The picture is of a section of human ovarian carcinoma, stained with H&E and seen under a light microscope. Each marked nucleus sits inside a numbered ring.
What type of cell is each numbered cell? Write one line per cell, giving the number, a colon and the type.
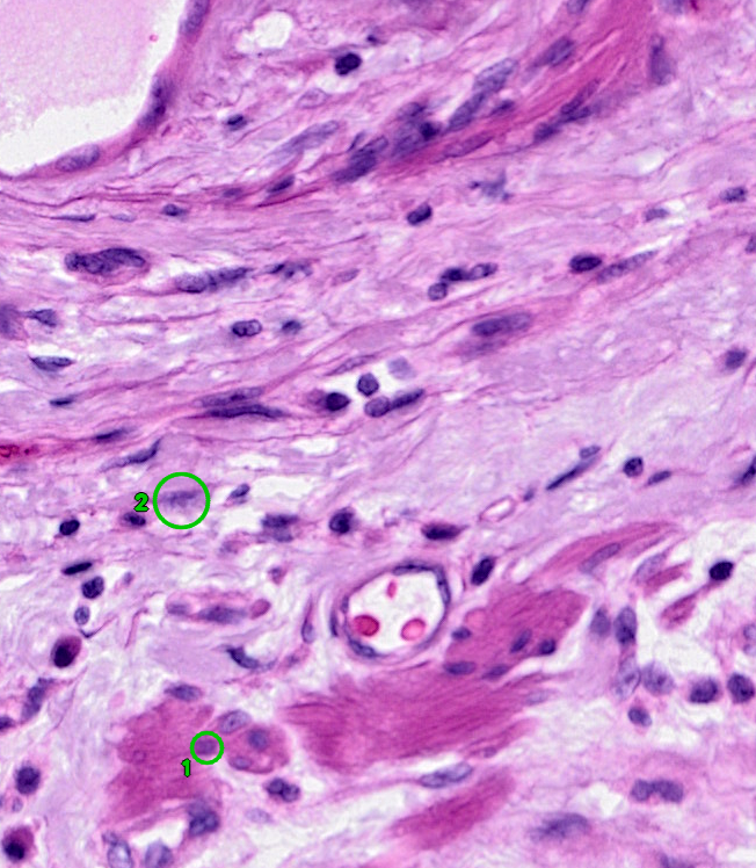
1: smooth muscle cell
2: fibroblast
